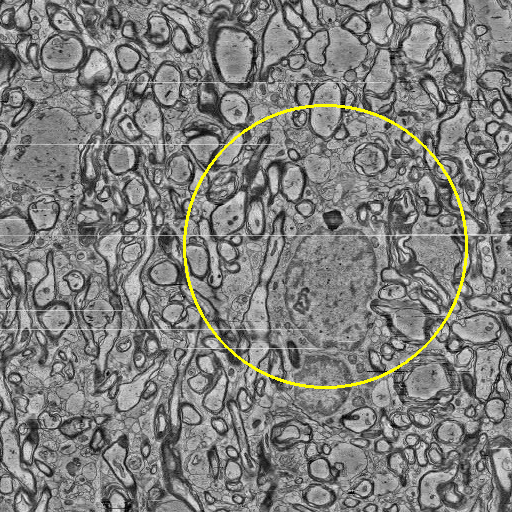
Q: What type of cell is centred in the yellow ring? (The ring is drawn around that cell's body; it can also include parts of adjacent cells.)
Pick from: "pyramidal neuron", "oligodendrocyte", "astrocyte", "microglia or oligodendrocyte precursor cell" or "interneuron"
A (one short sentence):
The yellow ring is centred on an oligodendrocyte.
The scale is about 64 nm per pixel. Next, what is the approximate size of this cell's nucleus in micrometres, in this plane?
In this plane the nucleus spans approximately 8 by 6 micrometers.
